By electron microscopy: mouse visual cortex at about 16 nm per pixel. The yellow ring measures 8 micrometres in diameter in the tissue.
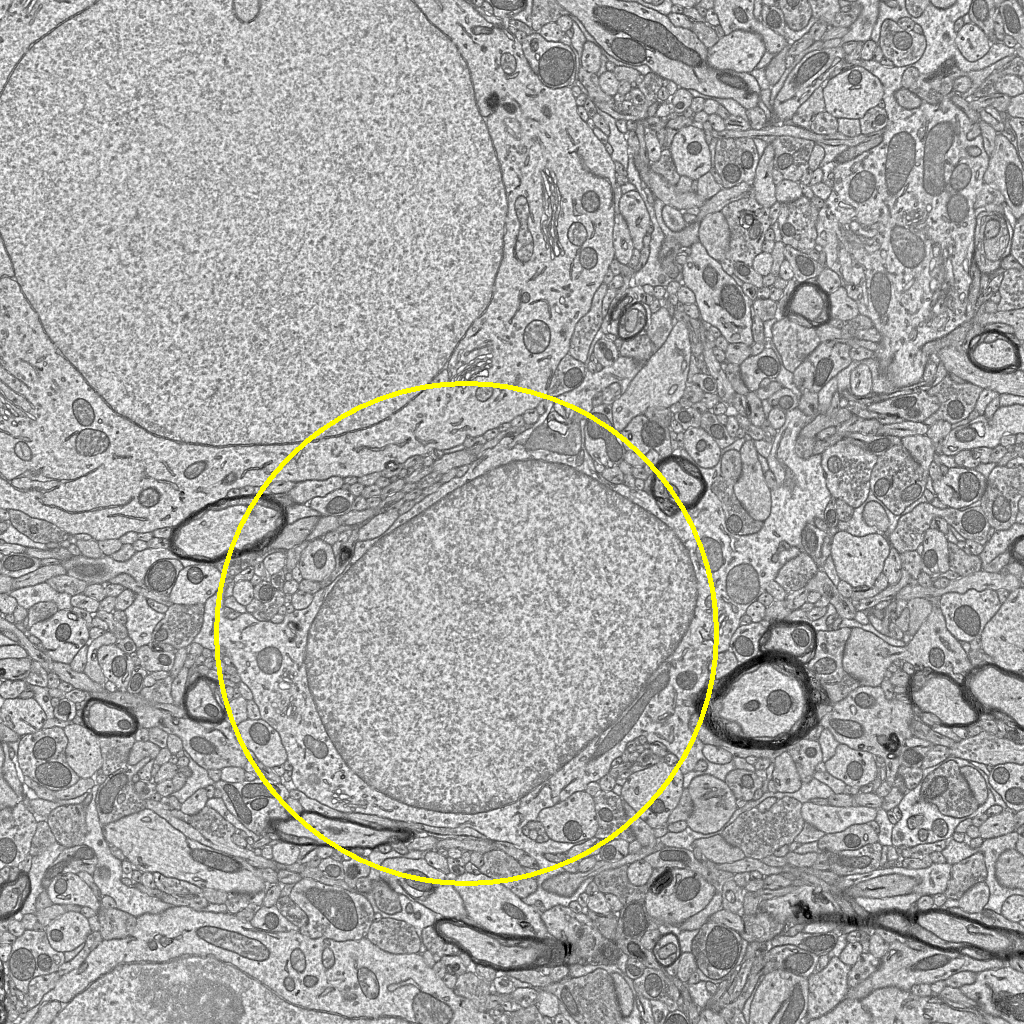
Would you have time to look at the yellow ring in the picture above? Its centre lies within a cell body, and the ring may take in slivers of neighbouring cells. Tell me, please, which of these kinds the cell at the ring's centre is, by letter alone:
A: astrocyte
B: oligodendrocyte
A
